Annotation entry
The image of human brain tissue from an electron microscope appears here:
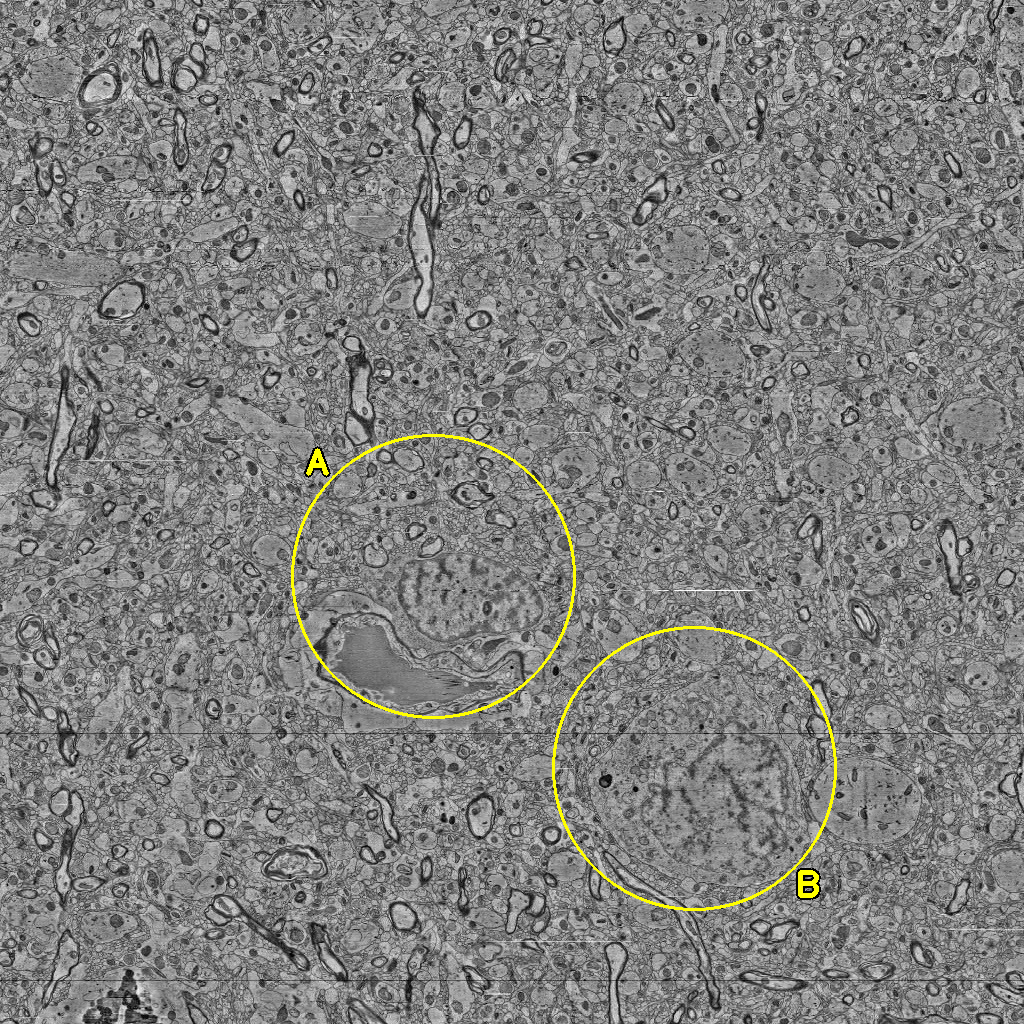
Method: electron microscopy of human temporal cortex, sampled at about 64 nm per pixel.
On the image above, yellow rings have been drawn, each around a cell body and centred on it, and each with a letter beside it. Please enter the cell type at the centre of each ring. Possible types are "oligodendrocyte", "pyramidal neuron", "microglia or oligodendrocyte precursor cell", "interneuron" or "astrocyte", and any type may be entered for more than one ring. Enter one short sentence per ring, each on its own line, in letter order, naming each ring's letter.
The cell that ring A is centred on is an oligodendrocyte.
The cell that ring B is centred on is an interneuron.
